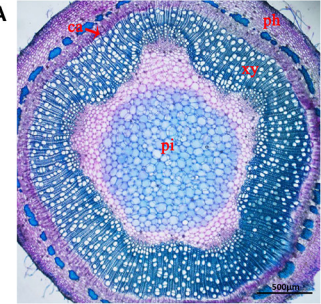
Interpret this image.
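In the centre lies a pith of large, rounded, thin-walled cells, pale blue in the middle and pinkish toward its edge, with a five-lobed outline. Around it a broad ring of xylem stains deep blue, built of radial files of small cells with white, open vessels dotted through it. Outside the xylem is a thin band of flattened cells, the cambium, and beyond it the phloem and outer bark, stained pink-purple, with dark blue clusters of thick-walled cells set in a ring.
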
